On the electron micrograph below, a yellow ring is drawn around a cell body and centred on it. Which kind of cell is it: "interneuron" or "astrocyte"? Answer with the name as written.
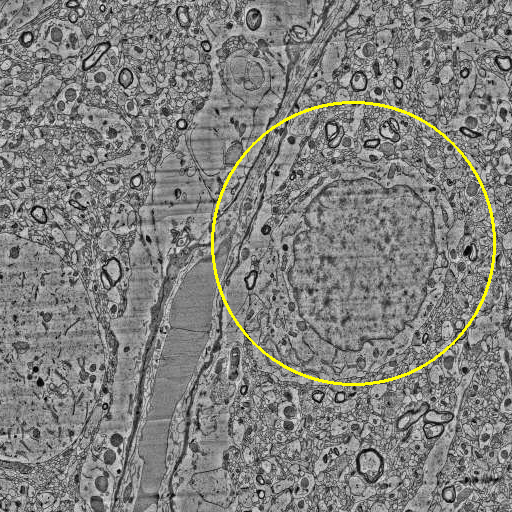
interneuron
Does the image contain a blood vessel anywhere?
Yes.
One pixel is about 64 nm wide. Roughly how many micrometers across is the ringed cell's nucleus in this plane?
The nucleus has a long axis of about 11 micrometres and a short axis of about 9 micrometres in this plane.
